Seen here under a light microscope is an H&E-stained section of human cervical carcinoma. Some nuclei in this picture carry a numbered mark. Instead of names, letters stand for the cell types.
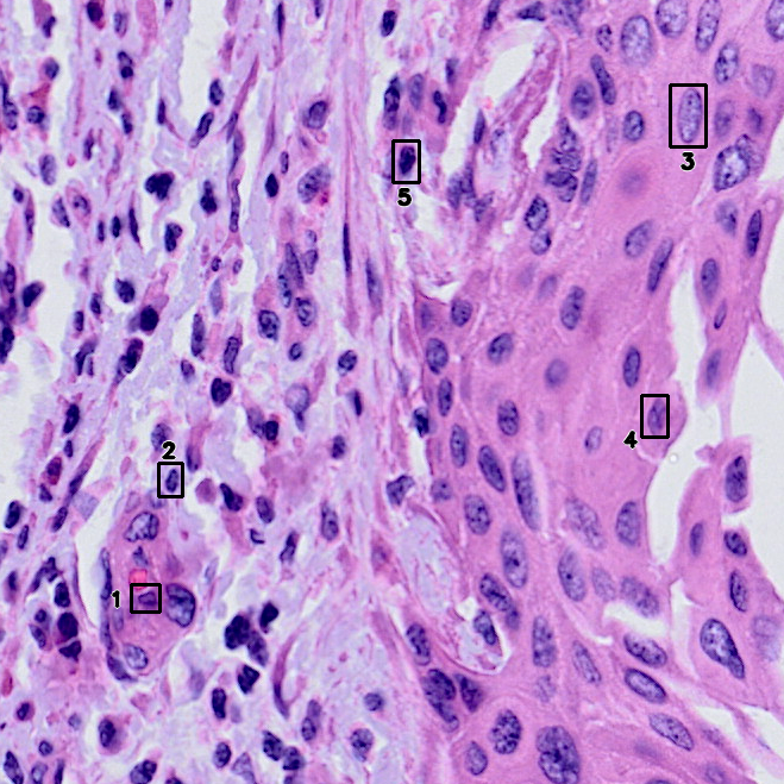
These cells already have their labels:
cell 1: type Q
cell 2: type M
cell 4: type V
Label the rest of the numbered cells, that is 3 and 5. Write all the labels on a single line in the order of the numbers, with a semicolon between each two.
type V; type M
